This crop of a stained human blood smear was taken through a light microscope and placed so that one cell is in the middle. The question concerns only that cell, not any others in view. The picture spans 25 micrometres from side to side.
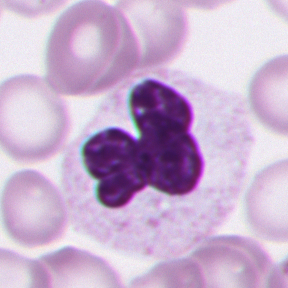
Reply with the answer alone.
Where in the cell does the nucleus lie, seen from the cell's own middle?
upper left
